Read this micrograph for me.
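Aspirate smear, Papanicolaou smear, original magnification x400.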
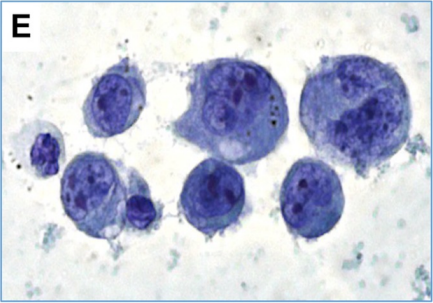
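Large to medium-size atypical cells with abundant blue-grey cytoplasm and irregular nuclei with conspicuous nucleoli lie scattered singly. One large cell at the upper right holds two nuclei side by side. Smaller cells with dark, compact nuclei lie between them.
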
